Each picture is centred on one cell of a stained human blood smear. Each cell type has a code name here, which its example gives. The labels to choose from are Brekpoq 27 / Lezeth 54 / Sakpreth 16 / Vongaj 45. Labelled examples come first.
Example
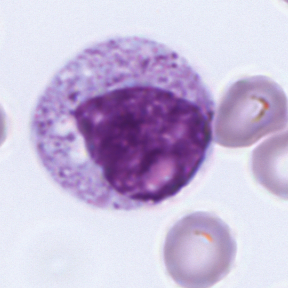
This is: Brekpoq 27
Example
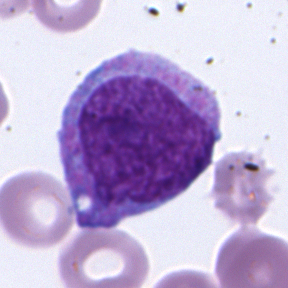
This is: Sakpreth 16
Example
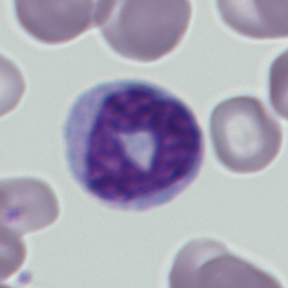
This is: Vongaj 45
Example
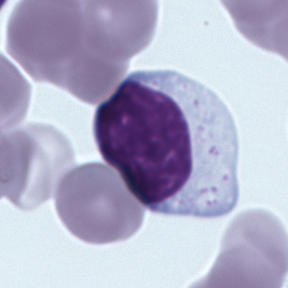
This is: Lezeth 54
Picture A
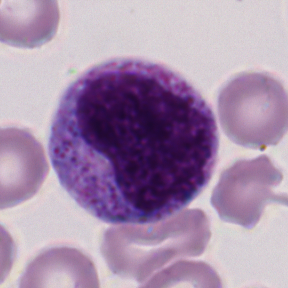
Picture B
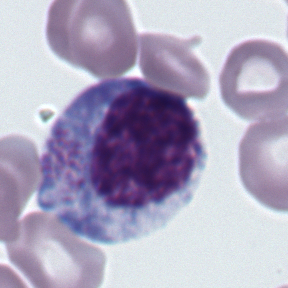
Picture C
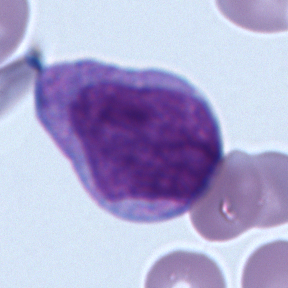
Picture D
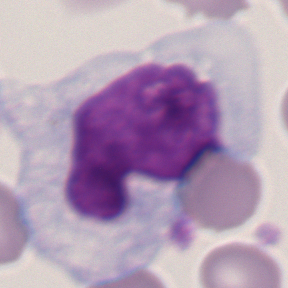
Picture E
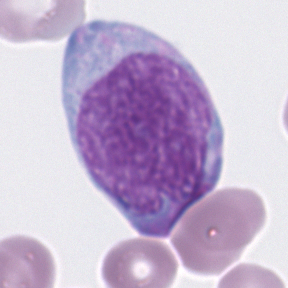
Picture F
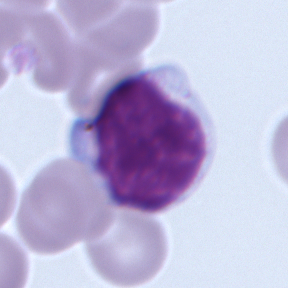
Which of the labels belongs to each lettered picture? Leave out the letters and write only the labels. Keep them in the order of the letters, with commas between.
Brekpoq 27, Brekpoq 27, Sakpreth 16, Vongaj 45, Sakpreth 16, Lezeth 54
